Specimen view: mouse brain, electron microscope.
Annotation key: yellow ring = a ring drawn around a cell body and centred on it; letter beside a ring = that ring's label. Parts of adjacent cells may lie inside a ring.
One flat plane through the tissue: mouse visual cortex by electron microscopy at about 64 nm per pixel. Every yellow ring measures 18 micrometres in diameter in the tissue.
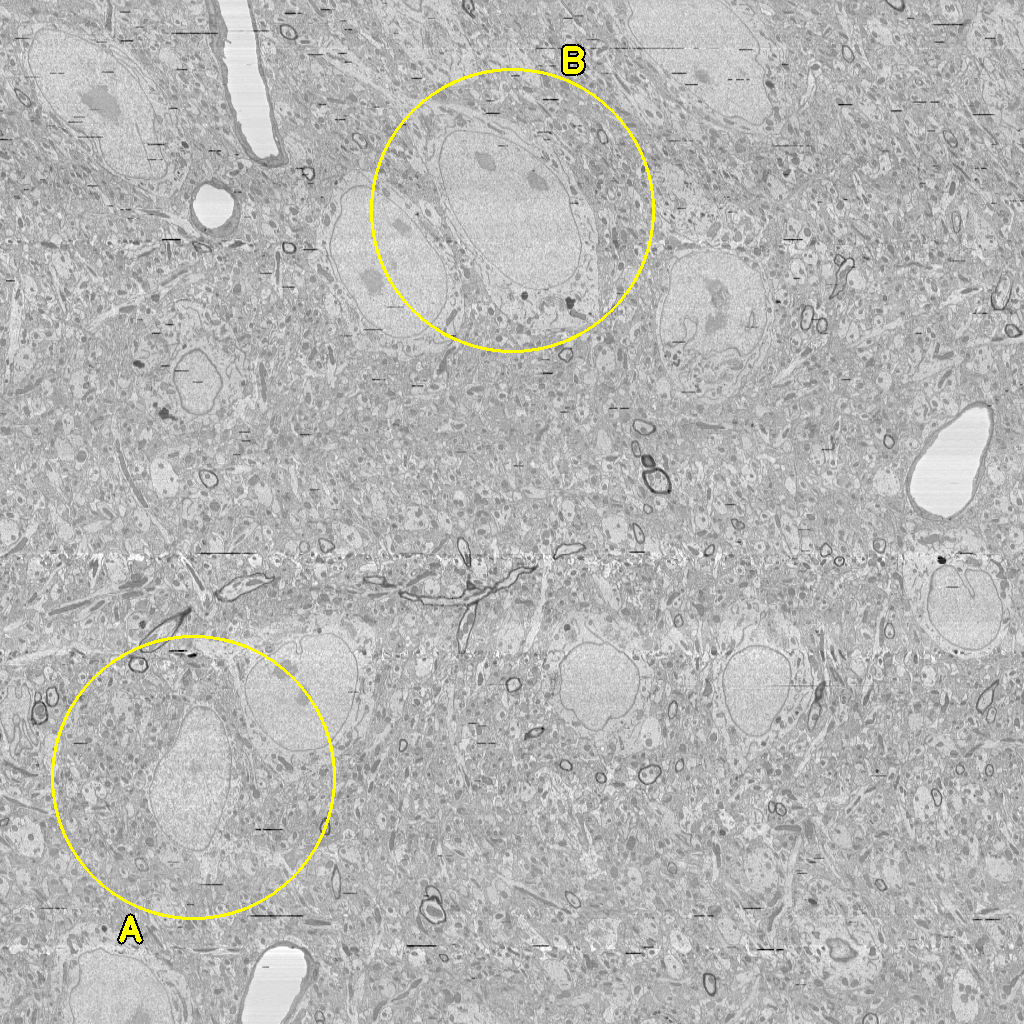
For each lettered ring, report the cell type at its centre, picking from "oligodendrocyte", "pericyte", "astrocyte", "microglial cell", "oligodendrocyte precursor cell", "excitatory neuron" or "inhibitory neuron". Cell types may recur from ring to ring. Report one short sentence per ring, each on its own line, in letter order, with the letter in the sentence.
The cell at the centre of ring A is an astrocyte.
The cell at the centre of ring B is an excitatory neuron.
